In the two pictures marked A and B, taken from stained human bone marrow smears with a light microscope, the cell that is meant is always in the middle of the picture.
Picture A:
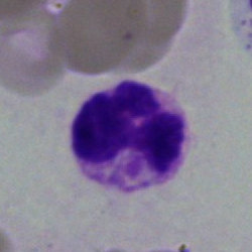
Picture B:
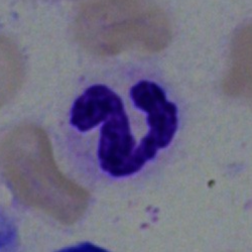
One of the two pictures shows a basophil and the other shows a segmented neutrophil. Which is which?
A: basophil
B: segmented neutrophil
